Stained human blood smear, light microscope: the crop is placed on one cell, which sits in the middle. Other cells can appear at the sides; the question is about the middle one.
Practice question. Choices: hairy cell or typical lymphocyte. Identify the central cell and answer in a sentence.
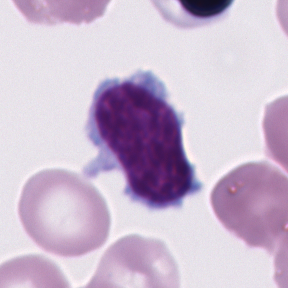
The target cell in the middle of the crop is a typical lymphocyte.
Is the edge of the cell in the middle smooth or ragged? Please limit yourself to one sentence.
Around its circumference, the cell has an uneven edge, ragged or projecting in places.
